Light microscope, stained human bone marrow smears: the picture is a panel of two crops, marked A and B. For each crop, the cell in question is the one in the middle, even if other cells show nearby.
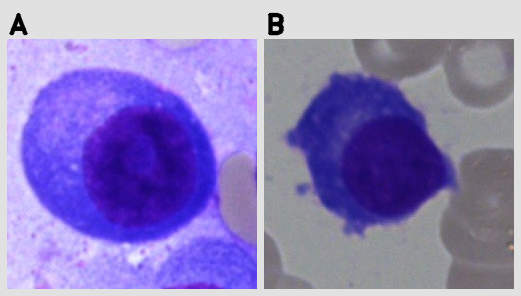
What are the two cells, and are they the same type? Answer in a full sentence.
Yes, the two crops show plasma cells, one cell each.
